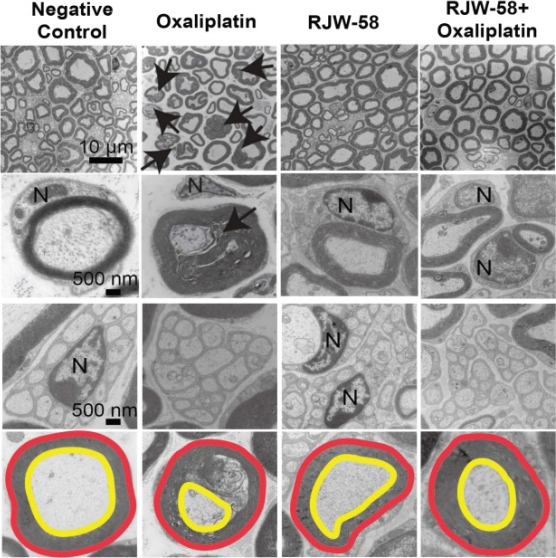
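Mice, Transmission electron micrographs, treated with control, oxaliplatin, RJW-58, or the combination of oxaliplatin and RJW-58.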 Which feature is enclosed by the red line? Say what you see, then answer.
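Myelin. The dark ring surrounds the pale core traced in yellow.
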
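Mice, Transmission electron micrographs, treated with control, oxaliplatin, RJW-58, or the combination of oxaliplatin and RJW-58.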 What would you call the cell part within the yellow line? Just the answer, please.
Axon.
